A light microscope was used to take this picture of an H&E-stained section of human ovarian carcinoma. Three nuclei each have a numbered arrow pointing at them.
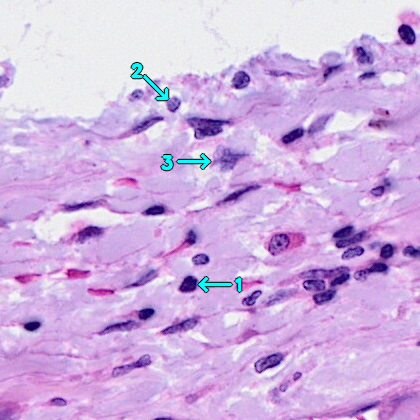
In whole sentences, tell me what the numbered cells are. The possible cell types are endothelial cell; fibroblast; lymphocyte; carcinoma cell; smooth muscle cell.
Cells 1 and 2 are lymphocytes. Cell 3 is a fibroblast.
